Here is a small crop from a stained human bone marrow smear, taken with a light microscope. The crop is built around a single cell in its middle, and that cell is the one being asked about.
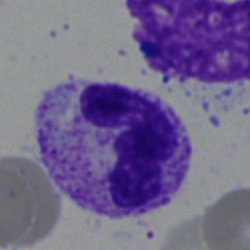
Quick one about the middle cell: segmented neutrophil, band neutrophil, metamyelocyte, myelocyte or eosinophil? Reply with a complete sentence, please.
The middle of this crop holds a segmented neutrophil.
